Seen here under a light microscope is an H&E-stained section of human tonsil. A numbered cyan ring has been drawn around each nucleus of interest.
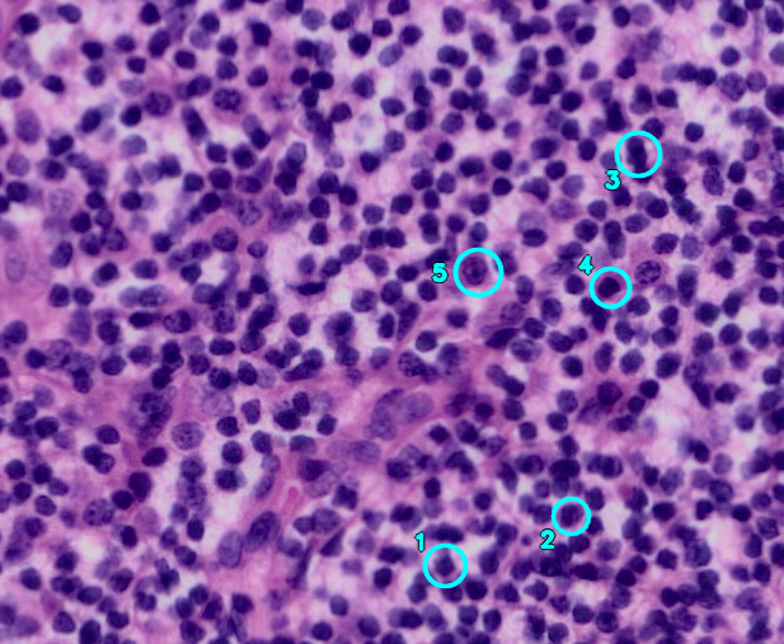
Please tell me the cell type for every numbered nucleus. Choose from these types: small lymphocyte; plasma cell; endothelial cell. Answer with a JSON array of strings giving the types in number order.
["small lymphocyte", "small lymphocyte", "small lymphocyte", "plasma cell", "plasma cell"]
